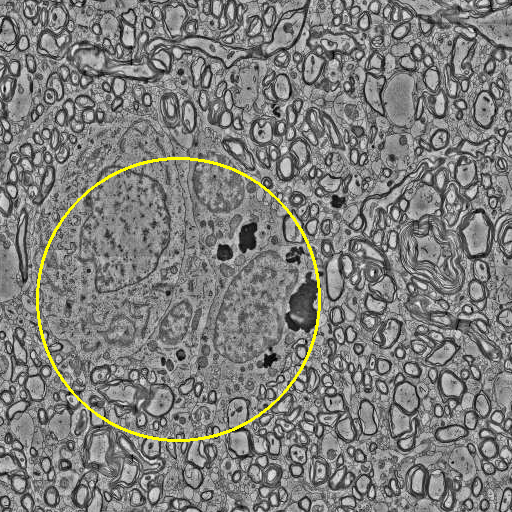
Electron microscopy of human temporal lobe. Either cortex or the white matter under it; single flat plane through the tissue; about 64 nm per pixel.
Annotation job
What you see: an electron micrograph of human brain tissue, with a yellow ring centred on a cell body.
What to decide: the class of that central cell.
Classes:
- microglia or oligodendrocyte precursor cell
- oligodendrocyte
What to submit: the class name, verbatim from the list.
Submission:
microglia or oligodendrocyte precursor cell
